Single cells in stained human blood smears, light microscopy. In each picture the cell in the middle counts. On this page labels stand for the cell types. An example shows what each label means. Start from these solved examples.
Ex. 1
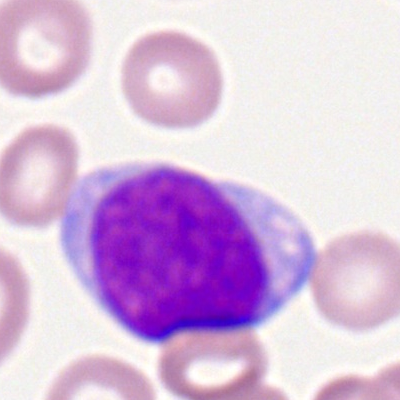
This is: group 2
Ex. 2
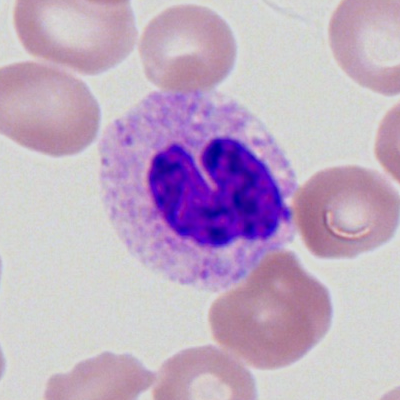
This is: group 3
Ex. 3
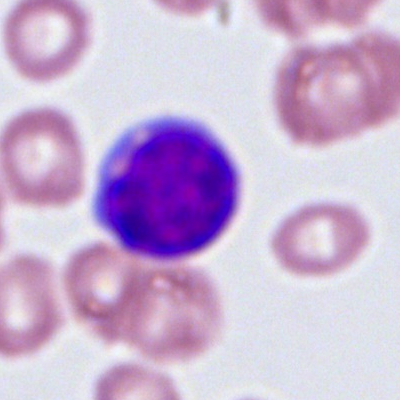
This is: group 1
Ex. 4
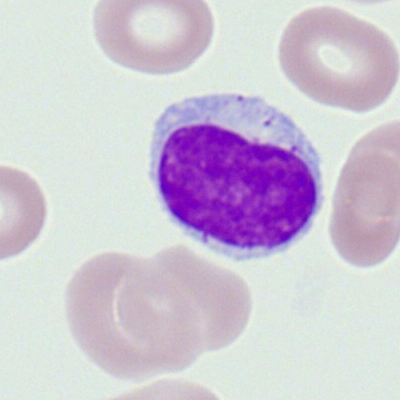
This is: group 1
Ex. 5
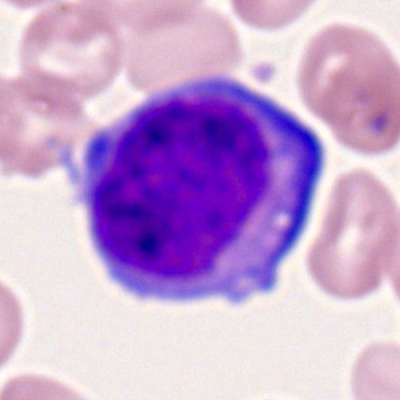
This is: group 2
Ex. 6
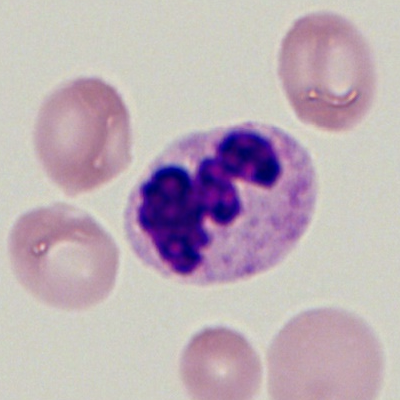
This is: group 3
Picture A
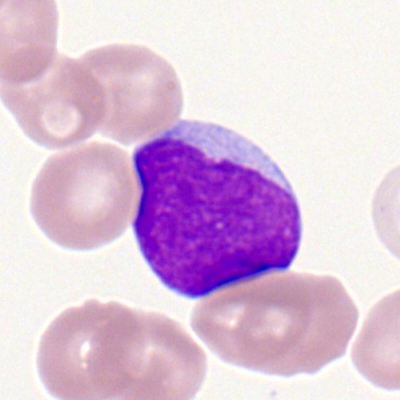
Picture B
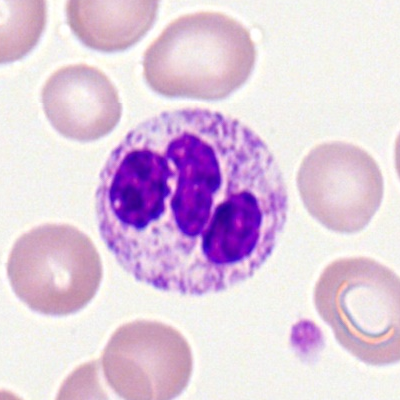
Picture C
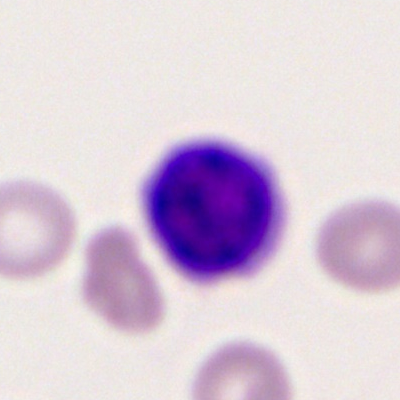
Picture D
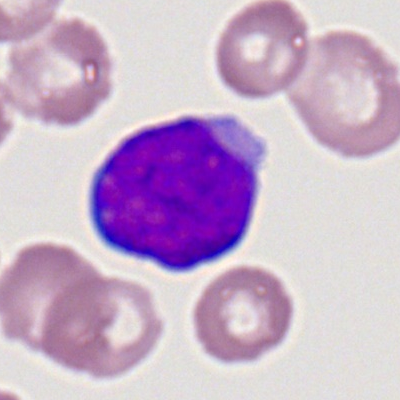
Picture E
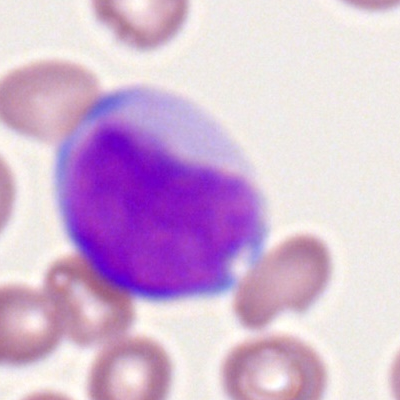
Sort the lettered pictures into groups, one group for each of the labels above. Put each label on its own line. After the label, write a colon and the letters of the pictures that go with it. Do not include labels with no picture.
group 2: A, D, E
group 3: B
group 1: C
